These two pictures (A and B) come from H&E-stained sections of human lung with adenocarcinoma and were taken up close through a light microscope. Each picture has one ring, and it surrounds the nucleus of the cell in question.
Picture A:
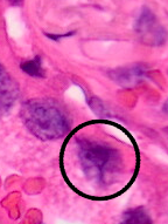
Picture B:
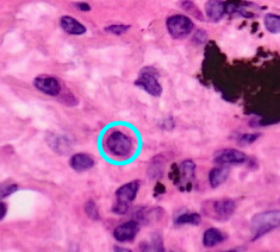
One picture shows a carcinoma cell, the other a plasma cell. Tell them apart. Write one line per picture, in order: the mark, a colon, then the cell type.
A: carcinoma cell
B: plasma cell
